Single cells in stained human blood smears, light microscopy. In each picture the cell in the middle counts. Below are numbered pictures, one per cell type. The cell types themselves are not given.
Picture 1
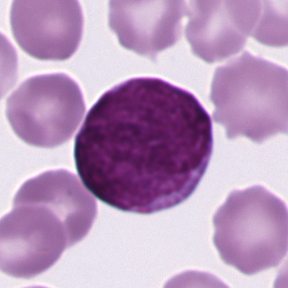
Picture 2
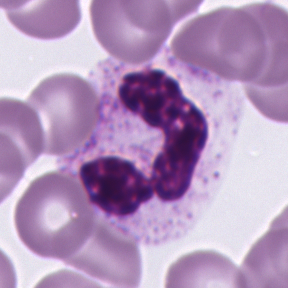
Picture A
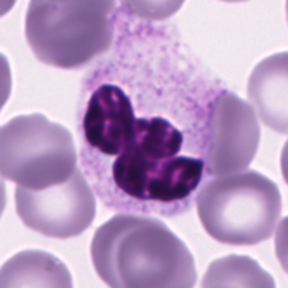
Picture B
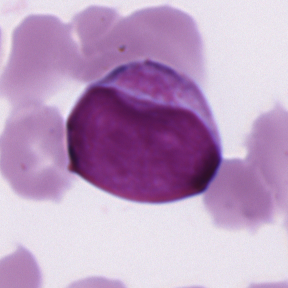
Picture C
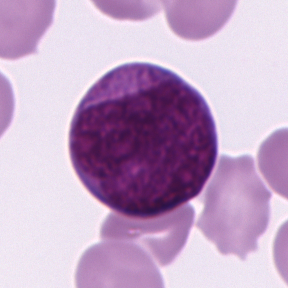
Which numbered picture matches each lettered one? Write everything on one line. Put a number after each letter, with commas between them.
A 2, B 1, C 1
